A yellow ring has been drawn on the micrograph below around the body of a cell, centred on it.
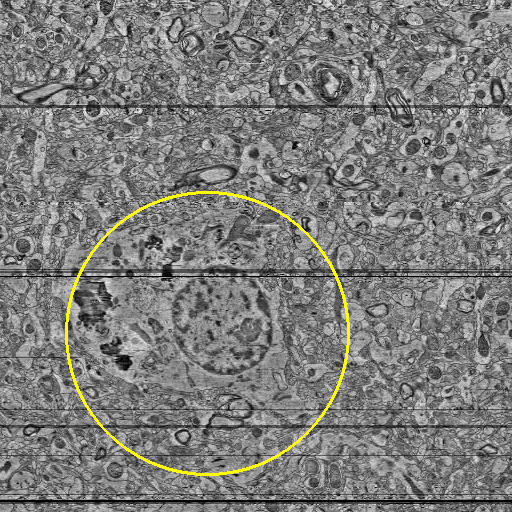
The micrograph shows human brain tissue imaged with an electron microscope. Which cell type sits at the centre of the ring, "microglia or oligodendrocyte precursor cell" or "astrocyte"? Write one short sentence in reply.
The cell sitting at the centre of the ring is an astrocyte.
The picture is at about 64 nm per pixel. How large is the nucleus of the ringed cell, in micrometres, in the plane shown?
In this plane the nucleus is about 8 micrometres by 6.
